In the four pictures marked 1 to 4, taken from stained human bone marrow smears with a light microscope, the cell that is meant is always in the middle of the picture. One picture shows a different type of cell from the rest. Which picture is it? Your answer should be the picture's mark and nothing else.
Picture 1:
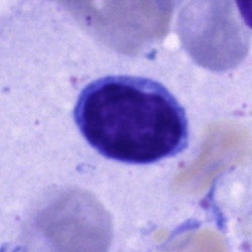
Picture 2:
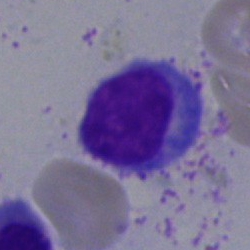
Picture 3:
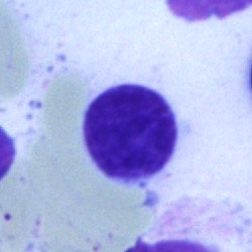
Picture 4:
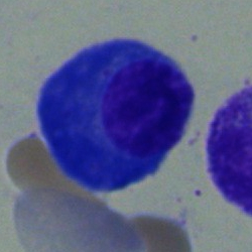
4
